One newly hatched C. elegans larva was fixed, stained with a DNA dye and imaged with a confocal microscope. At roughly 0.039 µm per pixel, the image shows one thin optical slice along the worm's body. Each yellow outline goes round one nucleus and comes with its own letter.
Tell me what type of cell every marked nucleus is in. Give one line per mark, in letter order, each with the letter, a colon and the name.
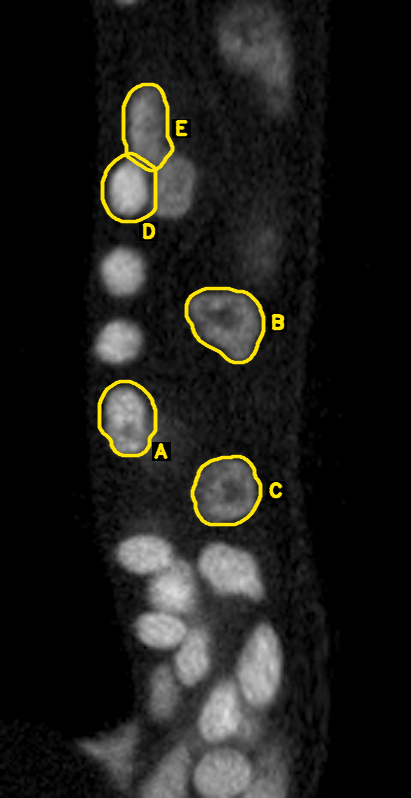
A: body wall muscle cell
B: intestinal cell
C: intestinal cell
D: neuron
E: body wall muscle cell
